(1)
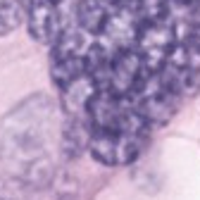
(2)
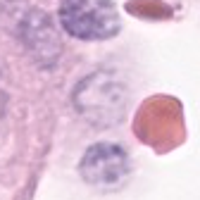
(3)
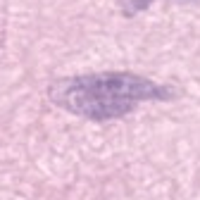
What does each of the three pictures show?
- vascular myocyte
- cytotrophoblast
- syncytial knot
(1) syncytial knot
(2) cytotrophoblast
(3) vascular myocyte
